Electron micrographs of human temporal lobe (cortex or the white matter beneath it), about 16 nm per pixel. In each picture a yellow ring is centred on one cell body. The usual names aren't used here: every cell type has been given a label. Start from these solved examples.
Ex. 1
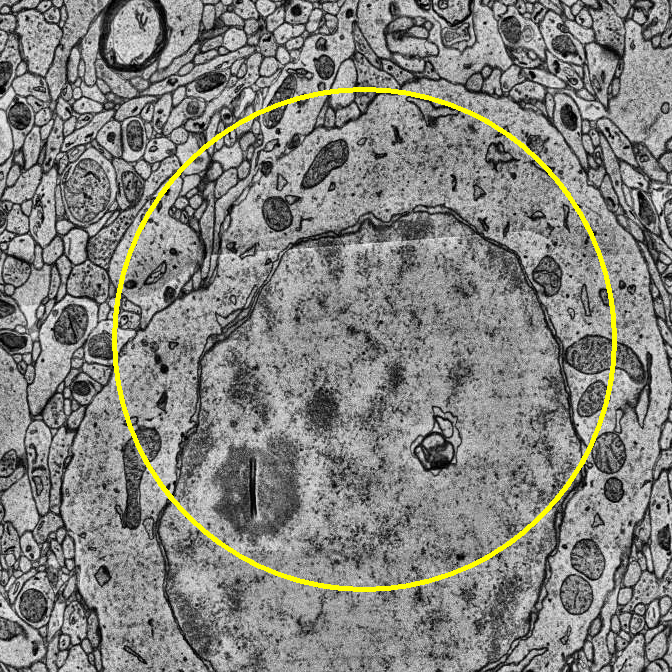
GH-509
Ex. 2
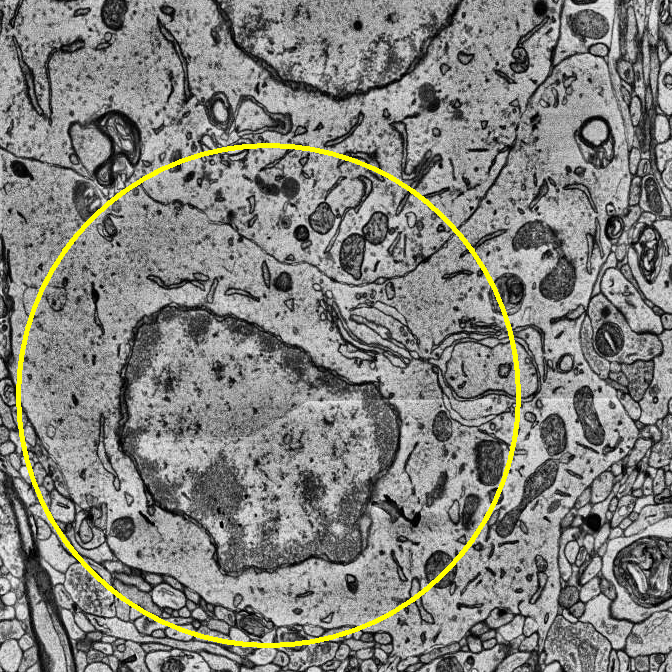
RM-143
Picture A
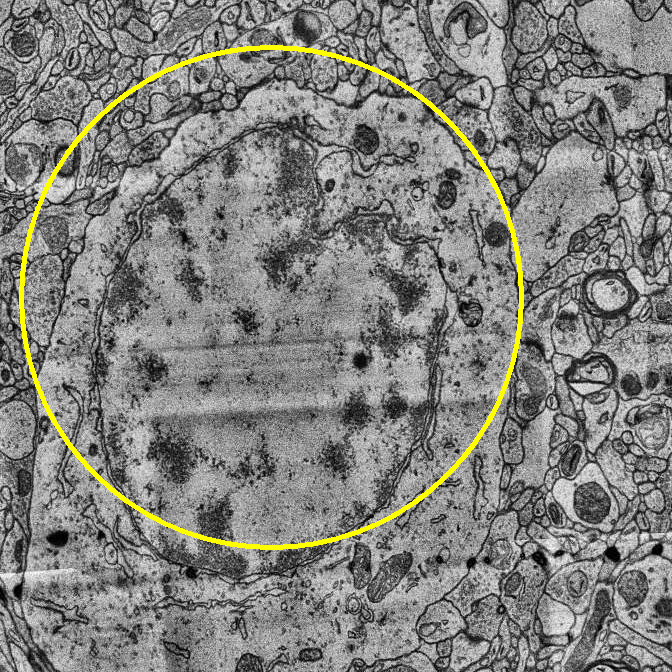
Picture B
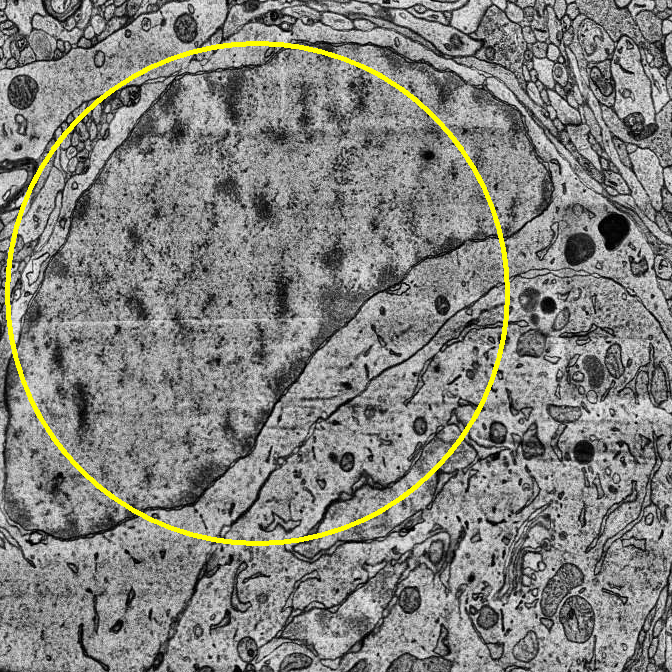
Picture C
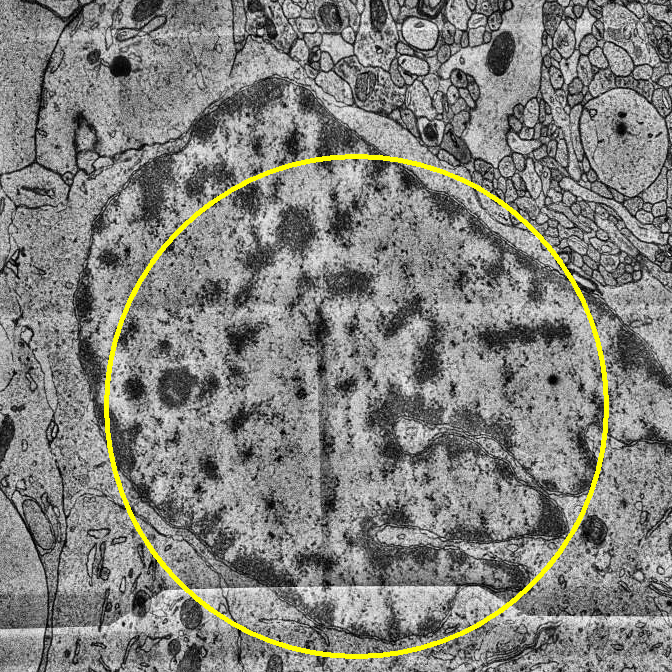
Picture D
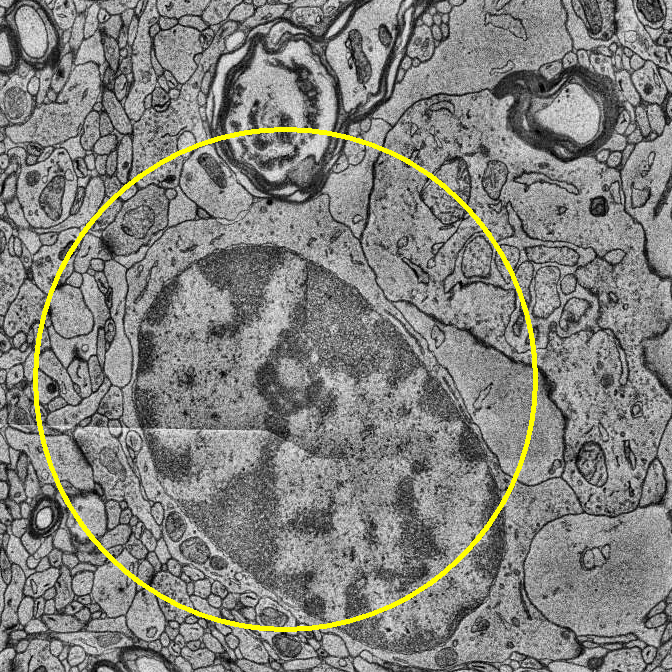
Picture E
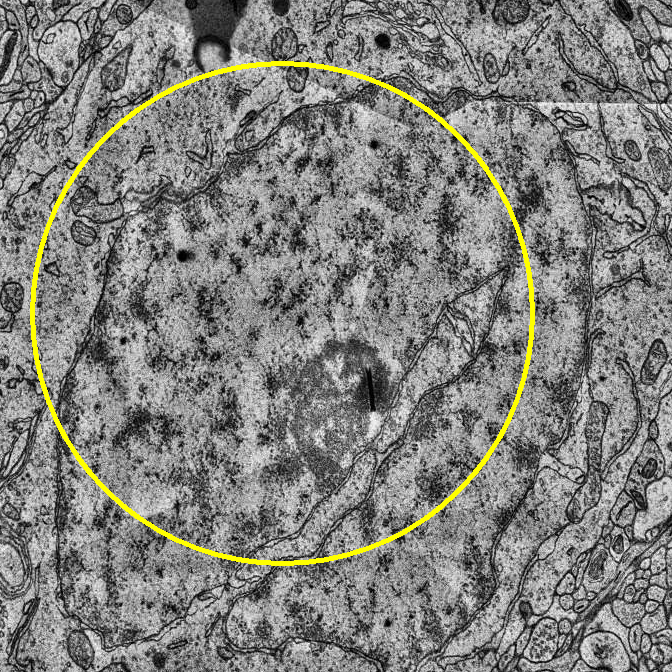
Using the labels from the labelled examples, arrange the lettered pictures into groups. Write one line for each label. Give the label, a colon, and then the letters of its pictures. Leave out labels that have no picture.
GH-509: A, E
RM-143: B, C, D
